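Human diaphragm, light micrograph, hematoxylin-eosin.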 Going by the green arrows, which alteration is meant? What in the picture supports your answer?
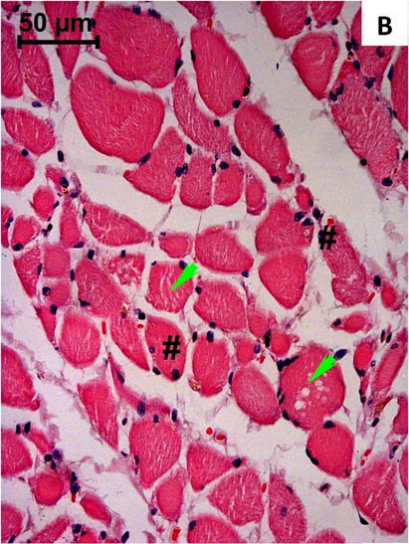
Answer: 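Vacuolization. Clear round holes lie inside the pink cytoplasm of some fibers. One fiber holds a cluster of several small empty vacuoles.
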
